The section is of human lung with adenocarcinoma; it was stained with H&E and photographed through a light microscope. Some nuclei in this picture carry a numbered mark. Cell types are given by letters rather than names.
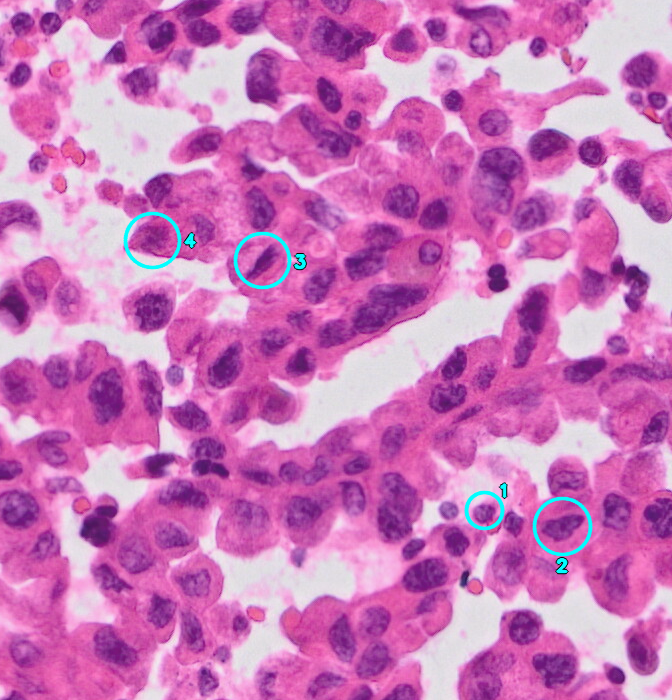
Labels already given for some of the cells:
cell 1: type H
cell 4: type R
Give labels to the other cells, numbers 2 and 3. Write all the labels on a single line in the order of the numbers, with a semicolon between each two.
type R; type R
